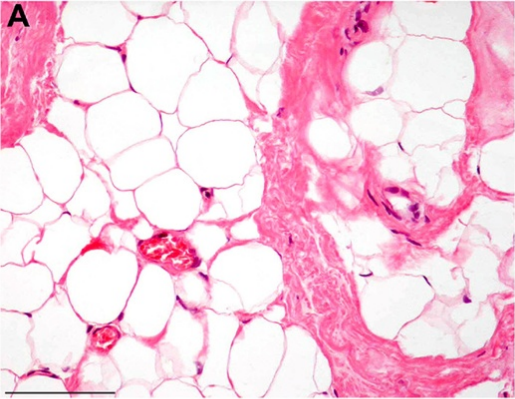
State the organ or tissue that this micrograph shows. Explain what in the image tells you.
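Large empty-looking polygonal cells with thin pink rims. Flattened nuclei squeezed at the cell edges. Bands of pink fibrous tissue between lobules of the empty cells.
Answer: adipose tissue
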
